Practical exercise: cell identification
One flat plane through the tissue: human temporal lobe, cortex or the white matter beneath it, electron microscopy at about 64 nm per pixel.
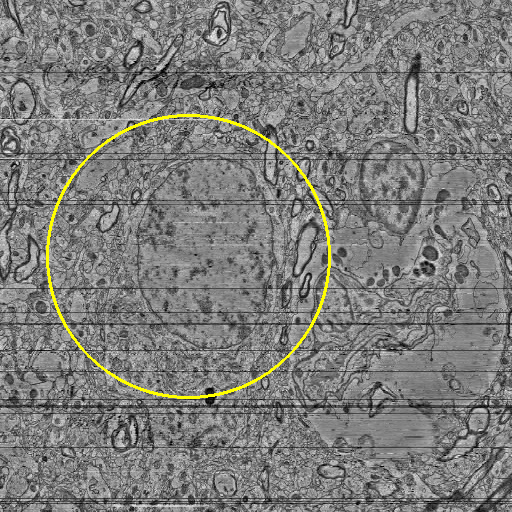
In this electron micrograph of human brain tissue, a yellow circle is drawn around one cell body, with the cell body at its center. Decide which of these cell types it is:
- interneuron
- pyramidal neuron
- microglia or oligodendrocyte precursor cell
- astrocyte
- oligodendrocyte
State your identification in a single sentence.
The ringed cell is a pyramidal neuron.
